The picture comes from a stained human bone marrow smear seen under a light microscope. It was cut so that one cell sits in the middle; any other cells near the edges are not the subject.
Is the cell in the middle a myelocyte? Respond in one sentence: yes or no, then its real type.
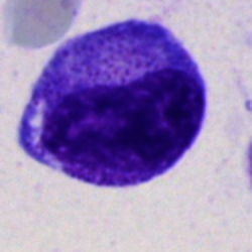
Yes, the cell lying in the centre of the crop is identified as a myelocyte.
